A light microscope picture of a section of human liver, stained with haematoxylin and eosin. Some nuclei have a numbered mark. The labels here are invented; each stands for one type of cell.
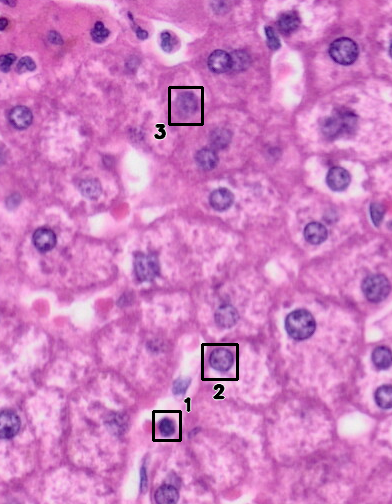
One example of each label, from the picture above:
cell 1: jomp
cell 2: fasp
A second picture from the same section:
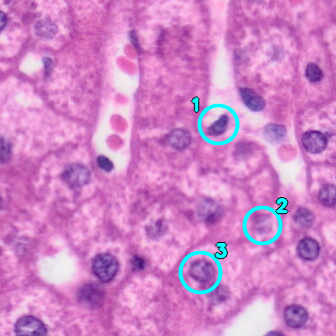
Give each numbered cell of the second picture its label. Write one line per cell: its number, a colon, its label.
1: jomp
2: fasp
3: fasp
